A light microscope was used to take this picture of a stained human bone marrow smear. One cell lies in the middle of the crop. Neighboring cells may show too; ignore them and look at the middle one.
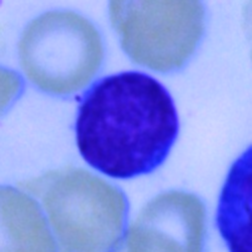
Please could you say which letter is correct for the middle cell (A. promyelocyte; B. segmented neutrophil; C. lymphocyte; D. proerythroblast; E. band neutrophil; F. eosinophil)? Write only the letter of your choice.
C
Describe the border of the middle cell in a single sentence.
In short, the margin is smooth with no projections at all.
